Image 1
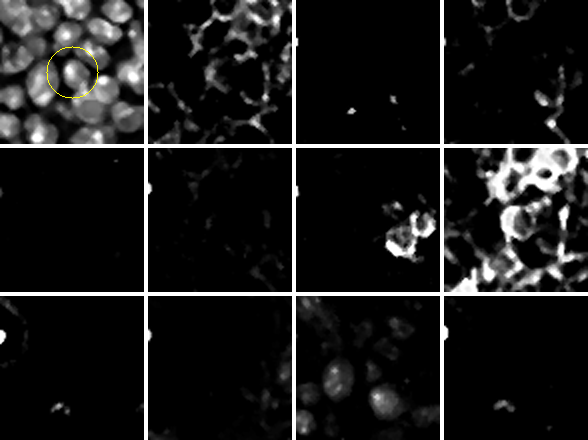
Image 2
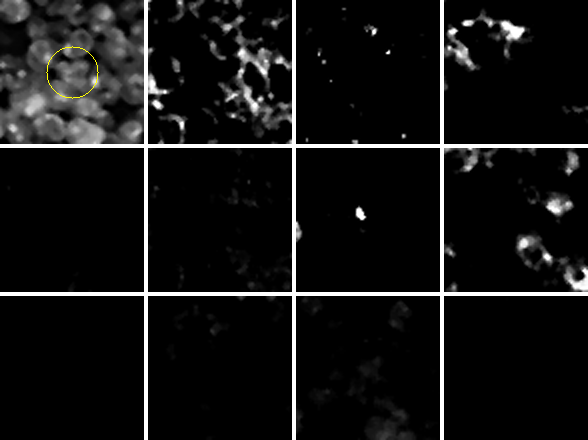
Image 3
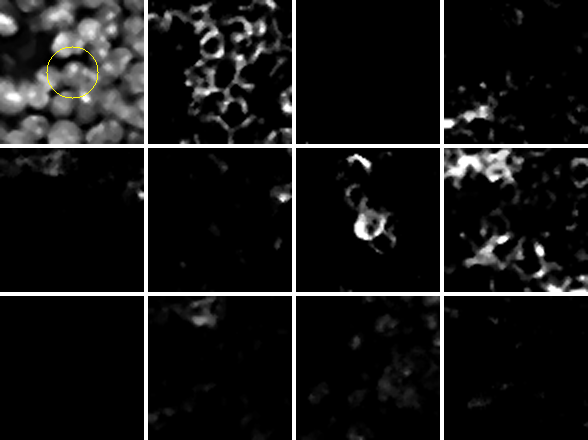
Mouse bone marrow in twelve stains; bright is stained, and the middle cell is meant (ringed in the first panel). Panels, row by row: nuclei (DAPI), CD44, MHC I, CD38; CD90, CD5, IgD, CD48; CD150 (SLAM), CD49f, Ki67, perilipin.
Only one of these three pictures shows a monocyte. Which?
Picture 1.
